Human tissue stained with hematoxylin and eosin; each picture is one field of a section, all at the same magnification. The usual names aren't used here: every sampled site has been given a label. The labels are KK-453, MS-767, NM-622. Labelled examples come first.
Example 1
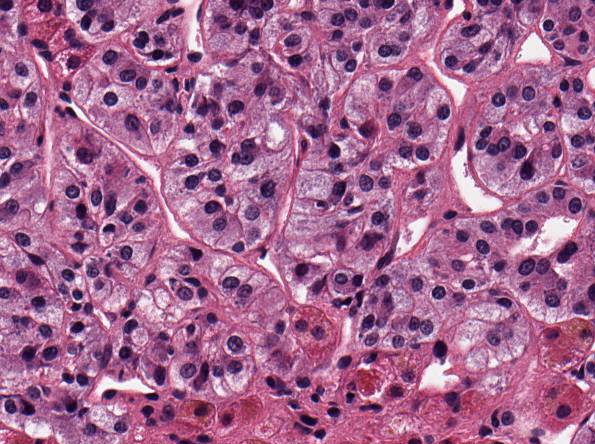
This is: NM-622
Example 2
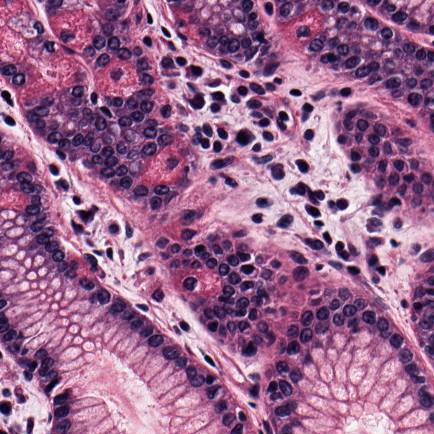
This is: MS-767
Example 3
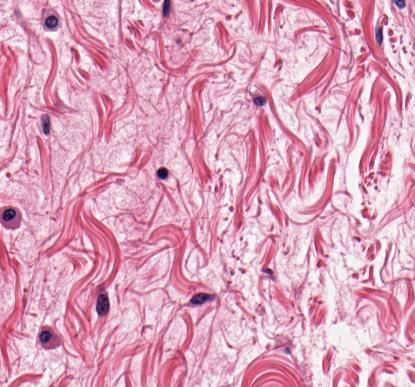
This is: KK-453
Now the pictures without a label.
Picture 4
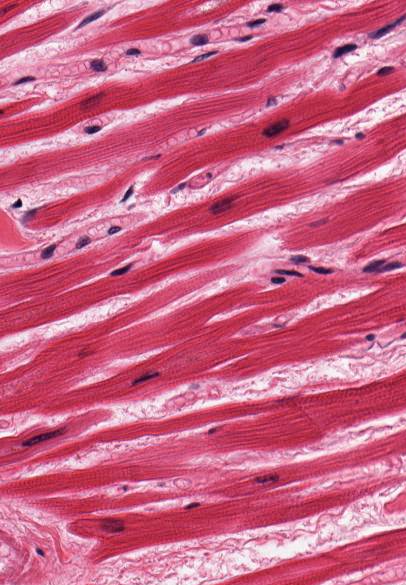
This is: KK-453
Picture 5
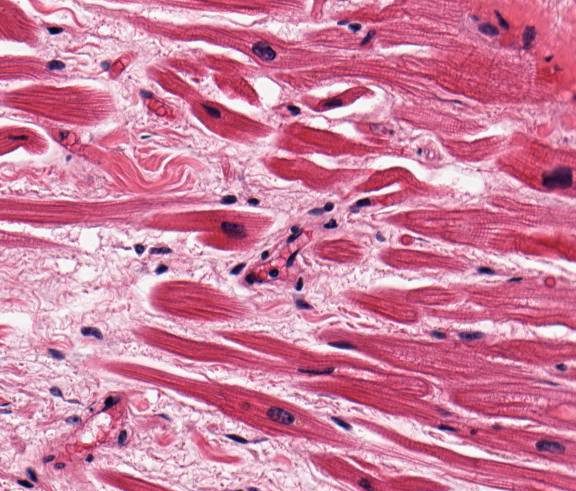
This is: KK-453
